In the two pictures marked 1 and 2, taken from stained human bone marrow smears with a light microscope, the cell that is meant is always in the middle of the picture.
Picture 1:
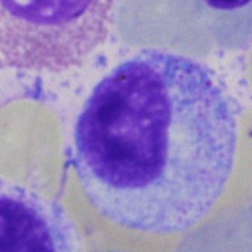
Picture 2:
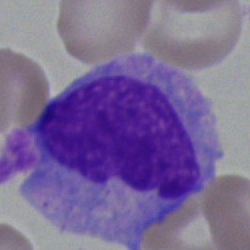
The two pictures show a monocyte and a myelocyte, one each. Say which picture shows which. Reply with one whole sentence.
The cell in picture 1 is a myelocyte, and the one in picture 2 is a monocyte.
